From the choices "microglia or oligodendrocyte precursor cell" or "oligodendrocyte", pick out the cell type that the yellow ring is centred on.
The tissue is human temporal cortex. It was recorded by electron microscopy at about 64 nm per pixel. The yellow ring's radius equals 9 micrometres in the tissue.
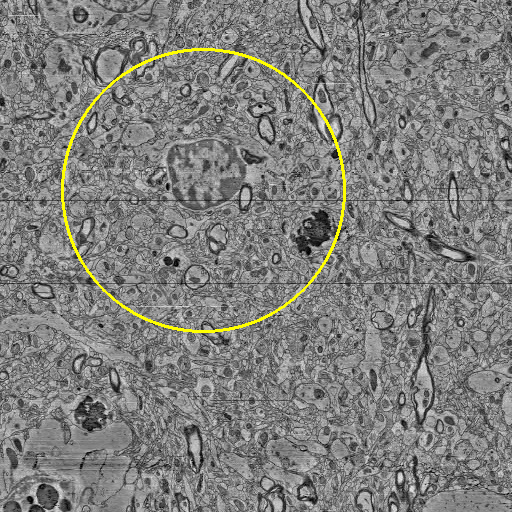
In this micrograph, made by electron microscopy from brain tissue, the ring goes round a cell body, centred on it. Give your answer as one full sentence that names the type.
The yellow ring is centred on a microglial cell or oligodendrocyte precursor cell, whose cell body it encircles in the picture.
